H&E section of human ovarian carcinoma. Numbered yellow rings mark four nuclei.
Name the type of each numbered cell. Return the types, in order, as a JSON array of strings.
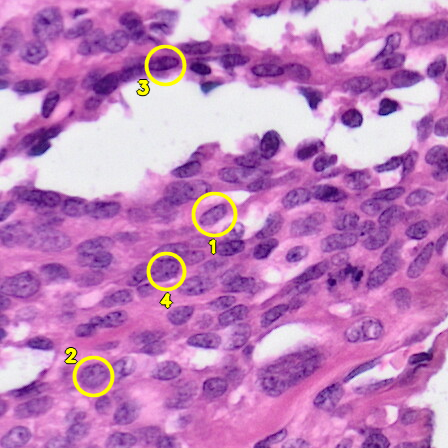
["macrophage or monocyte", "carcinoma cell", "carcinoma cell", "carcinoma cell"]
